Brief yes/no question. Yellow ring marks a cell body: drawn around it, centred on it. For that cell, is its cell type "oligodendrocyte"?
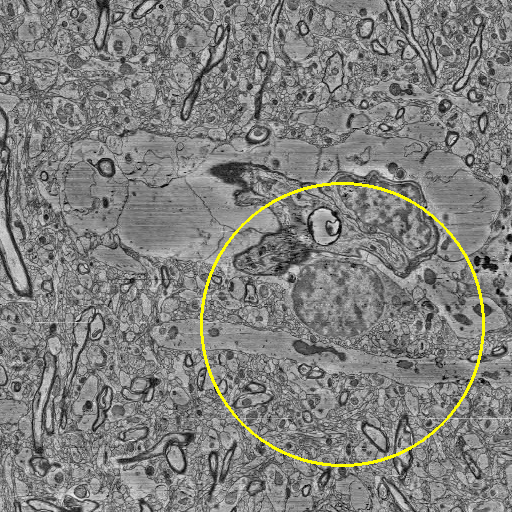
Yes, that is the cell type.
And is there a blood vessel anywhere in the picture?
Yes, there is one.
